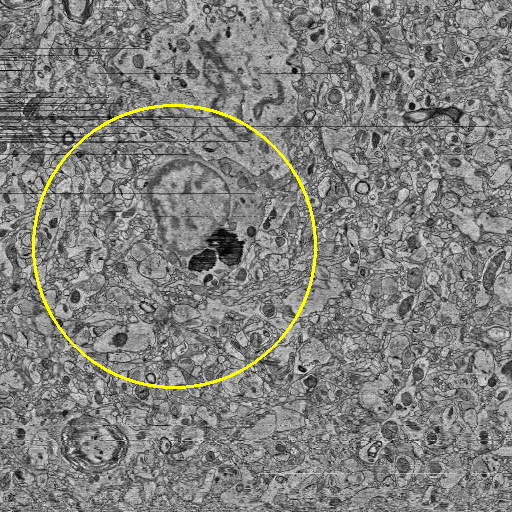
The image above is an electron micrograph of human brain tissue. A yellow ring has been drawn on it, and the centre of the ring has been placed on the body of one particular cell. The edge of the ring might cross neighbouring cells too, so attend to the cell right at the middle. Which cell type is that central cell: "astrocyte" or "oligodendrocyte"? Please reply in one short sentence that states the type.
The central cell in the ring is an oligodendrocyte.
